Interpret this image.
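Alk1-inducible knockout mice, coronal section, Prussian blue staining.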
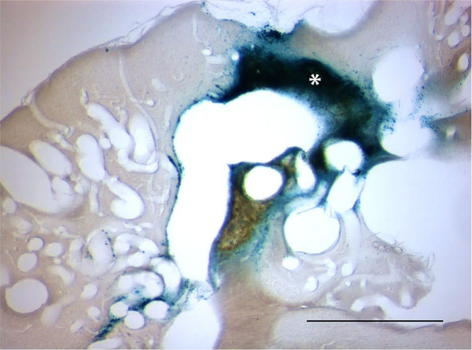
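This is brain tissue crowded with a tangle of abnormally enlarged vessels, seen as many round and irregular empty white spaces of varying size in the pale tan parenchyma. Around the largest channels in the upper part lies a dense dark blue-black deposit, and a brownish patch sits beside the vessels lower down.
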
